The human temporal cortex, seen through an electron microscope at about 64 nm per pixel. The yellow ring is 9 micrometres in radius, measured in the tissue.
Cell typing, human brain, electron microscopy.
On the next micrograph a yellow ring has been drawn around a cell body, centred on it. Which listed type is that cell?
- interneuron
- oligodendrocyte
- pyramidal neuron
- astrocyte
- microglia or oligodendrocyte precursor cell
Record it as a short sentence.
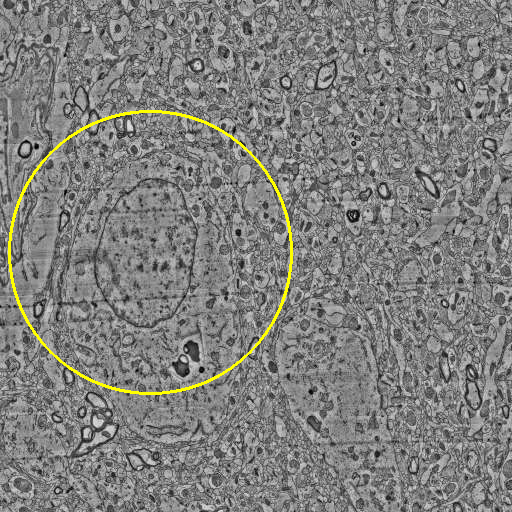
The cell body in the ring's centre belongs to a pyramidal neuron.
